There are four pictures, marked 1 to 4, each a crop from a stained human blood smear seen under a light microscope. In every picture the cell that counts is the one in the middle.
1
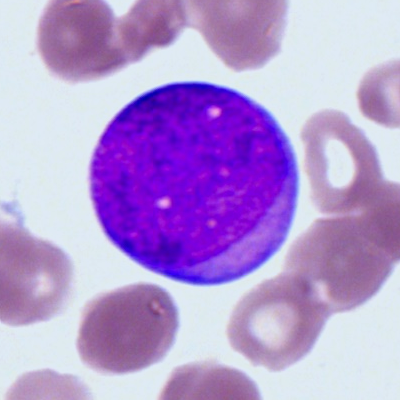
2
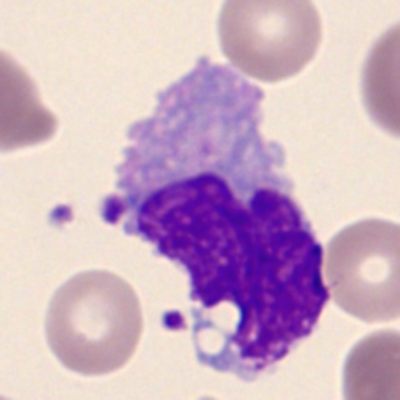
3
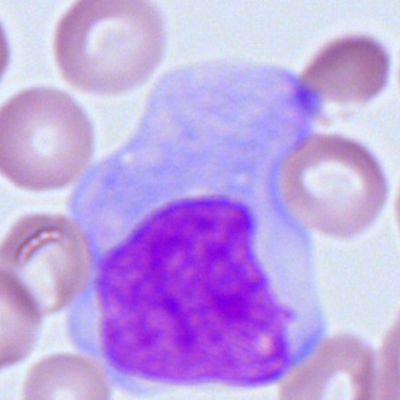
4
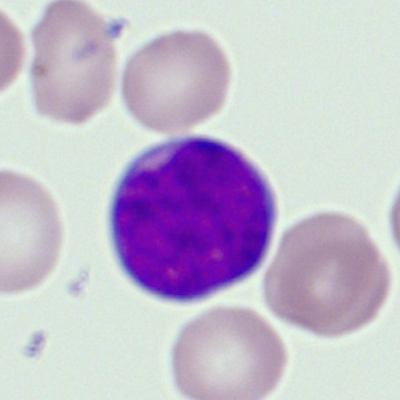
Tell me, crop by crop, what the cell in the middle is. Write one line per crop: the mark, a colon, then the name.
1: myeloblast
2: monocyte
3: monocyte
4: myeloblast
